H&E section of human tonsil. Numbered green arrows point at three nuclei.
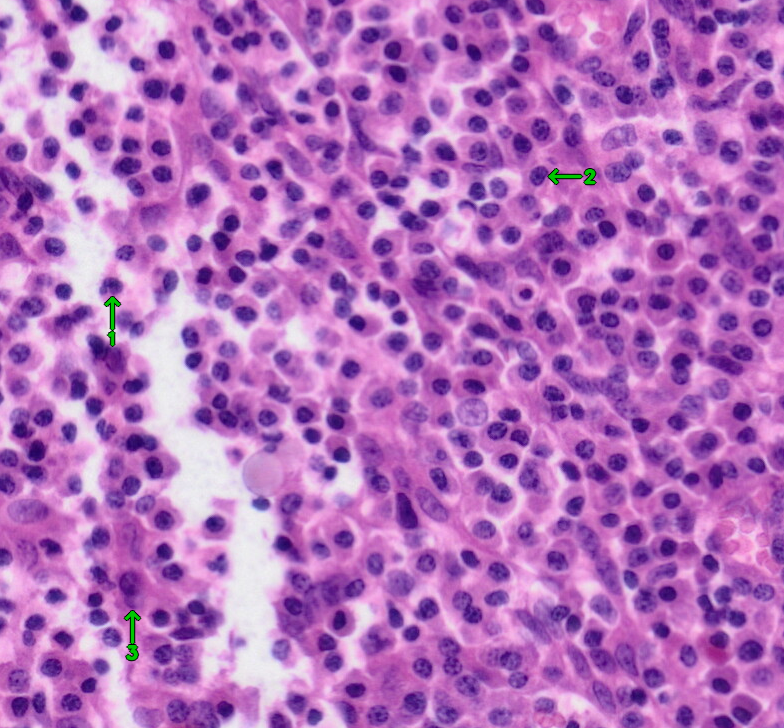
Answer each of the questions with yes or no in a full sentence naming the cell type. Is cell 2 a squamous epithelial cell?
No, the cell tagged 2 is a plasma cell, and not a squamous epithelial cell.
